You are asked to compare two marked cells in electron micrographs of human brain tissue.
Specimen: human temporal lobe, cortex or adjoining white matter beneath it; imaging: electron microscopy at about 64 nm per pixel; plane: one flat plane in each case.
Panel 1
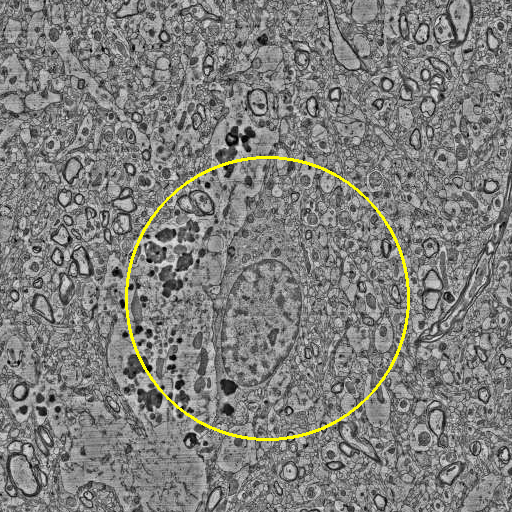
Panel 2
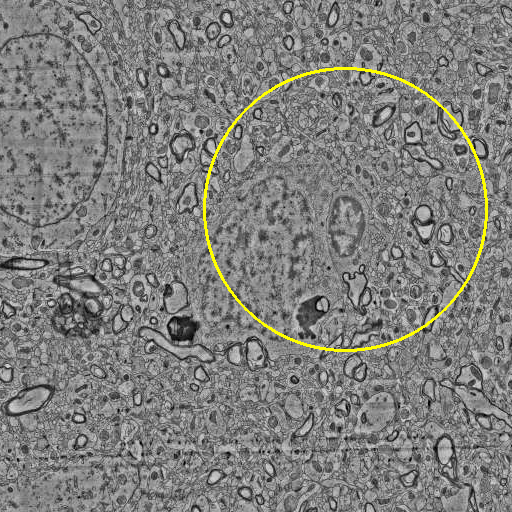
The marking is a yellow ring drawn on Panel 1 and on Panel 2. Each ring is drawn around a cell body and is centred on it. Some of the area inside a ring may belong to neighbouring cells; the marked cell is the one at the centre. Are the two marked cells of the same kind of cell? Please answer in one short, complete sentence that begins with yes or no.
Yes, the two marked cells are of the same kind.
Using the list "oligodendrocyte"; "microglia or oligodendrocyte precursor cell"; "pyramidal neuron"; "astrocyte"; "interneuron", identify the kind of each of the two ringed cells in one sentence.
Each one of the two ringed cells is an oligodendrocyte.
